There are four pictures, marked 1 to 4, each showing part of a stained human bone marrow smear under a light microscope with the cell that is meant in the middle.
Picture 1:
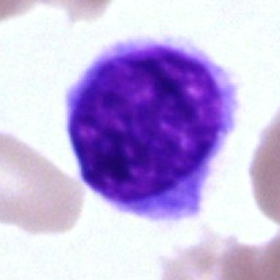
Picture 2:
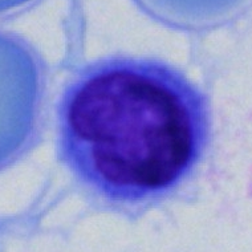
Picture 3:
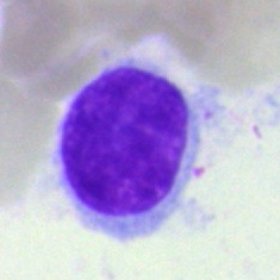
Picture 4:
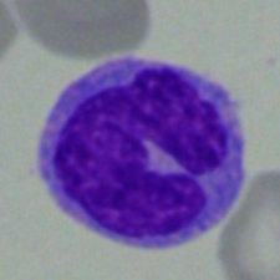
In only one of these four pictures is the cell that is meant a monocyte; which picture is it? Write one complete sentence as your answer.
Picture 4 is the one that shows the monocyte.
